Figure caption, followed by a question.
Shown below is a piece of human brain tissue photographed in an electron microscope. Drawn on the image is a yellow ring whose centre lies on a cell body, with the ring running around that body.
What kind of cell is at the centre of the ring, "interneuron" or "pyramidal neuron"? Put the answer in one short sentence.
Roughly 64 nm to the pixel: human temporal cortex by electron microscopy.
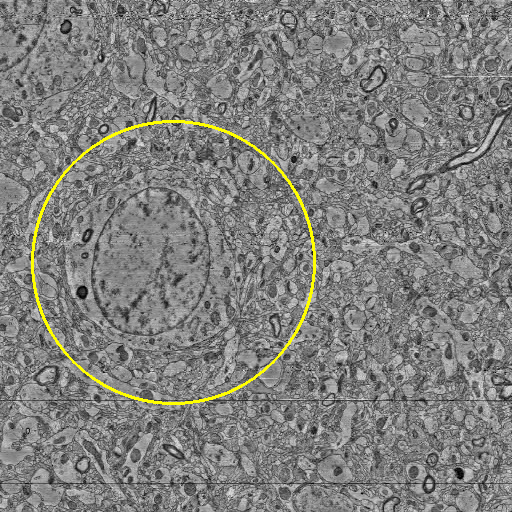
The ring marks the cell body of a pyramidal neuron.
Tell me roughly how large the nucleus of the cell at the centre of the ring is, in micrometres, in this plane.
The ringed cell's nucleus measures approximately 10 by 7 micrometres in this plane.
